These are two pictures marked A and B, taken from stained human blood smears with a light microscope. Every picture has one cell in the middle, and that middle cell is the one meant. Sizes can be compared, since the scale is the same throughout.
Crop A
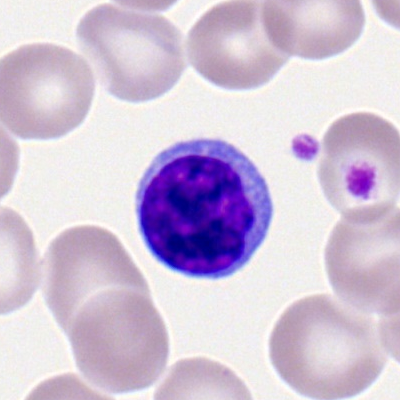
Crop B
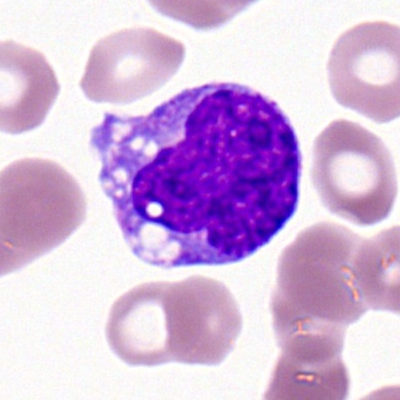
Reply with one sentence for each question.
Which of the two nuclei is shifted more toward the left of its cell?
The nucleus in crop A lies further toward the left of its cell.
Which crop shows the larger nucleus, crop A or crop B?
The nucleus in crop B is larger, with about 2 times the area of the one in crop A.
